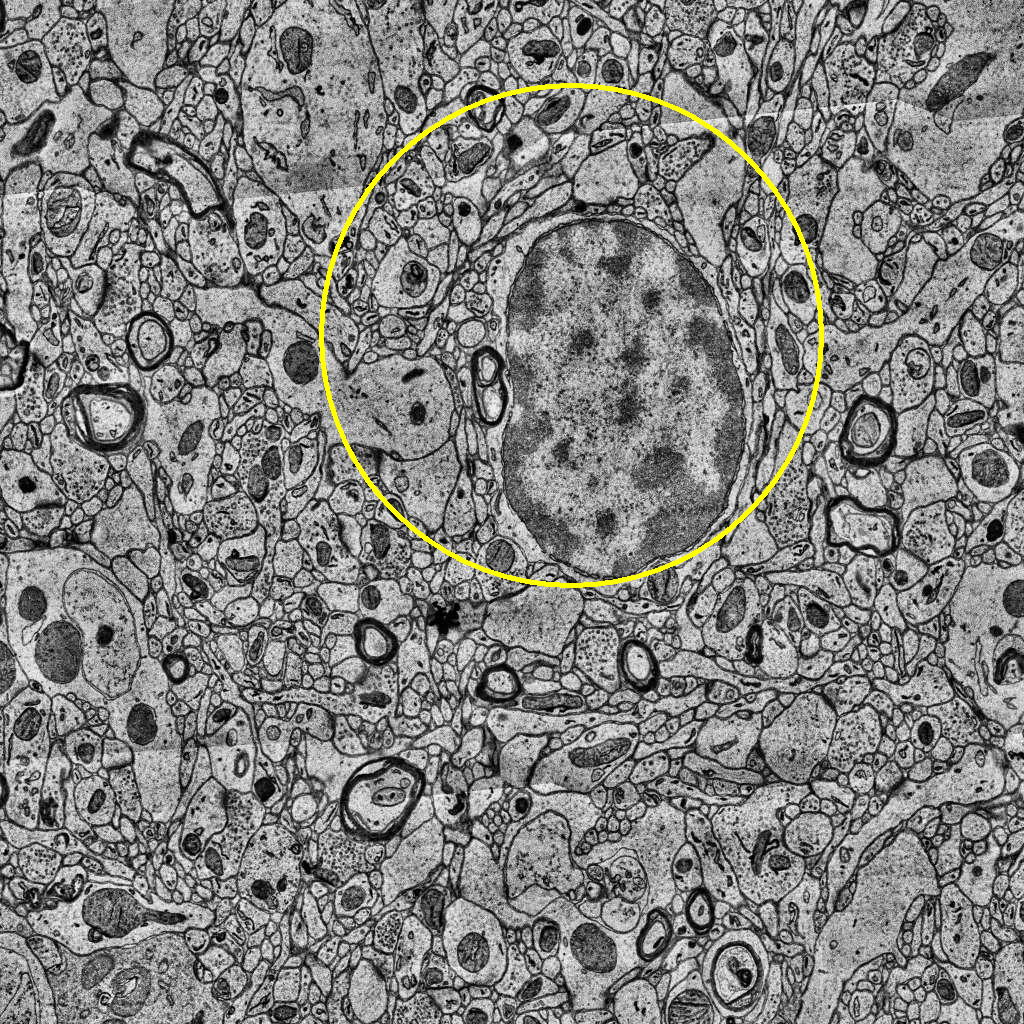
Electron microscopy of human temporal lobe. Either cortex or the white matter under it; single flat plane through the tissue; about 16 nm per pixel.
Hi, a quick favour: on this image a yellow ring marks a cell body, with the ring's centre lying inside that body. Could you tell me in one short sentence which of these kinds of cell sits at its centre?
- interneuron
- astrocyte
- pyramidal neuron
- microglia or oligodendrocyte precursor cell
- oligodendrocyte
The ring's centre lies in a microglial cell or oligodendrocyte precursor cell.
